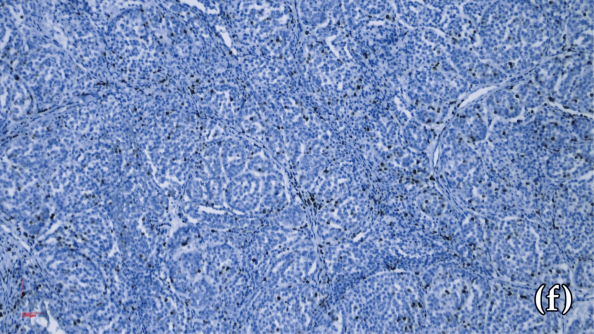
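This low-power view shows a tumor made of sheets and rounded nests of closely packed cells, counterstained blue. The nests are separated by thin strands of fibrous stroma, giving the tissue a lobulated pattern. Within the nests the cells are small and crowded, and small clefts and spaces separate some groups of them. Many nuclei scattered throughout the tumor are stained dark brown-black, standing out against the blue background. The dark nuclei are spread both within the nests and along their edges rather than confined to one area.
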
